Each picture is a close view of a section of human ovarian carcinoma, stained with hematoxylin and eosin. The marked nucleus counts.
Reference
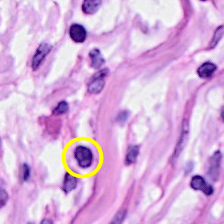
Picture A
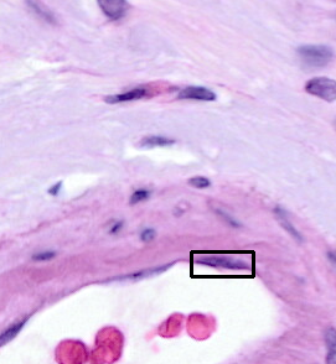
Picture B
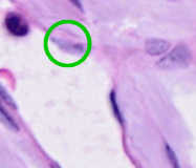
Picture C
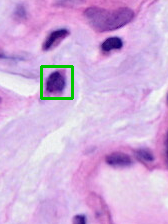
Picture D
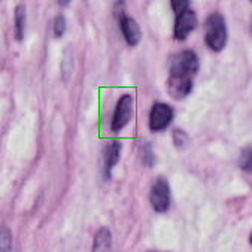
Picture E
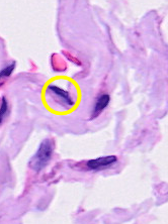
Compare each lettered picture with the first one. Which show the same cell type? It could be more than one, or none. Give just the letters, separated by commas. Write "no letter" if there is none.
C, D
